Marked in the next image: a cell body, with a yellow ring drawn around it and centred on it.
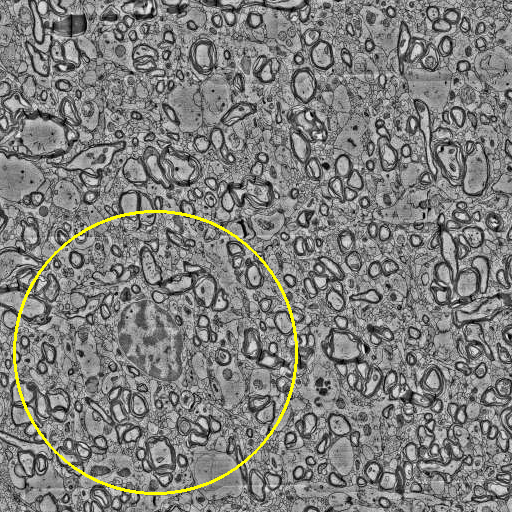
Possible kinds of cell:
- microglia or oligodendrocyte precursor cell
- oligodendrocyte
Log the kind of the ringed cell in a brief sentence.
The ringed cell body is that of a microglial cell or oligodendrocyte precursor cell.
